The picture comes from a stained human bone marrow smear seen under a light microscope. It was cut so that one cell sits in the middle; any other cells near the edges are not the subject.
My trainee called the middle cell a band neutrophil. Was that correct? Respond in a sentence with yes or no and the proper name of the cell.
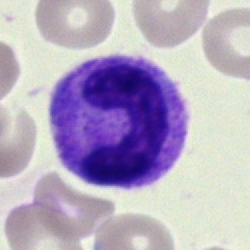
Yes, what sits in the centre of the crop is a band neutrophil.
